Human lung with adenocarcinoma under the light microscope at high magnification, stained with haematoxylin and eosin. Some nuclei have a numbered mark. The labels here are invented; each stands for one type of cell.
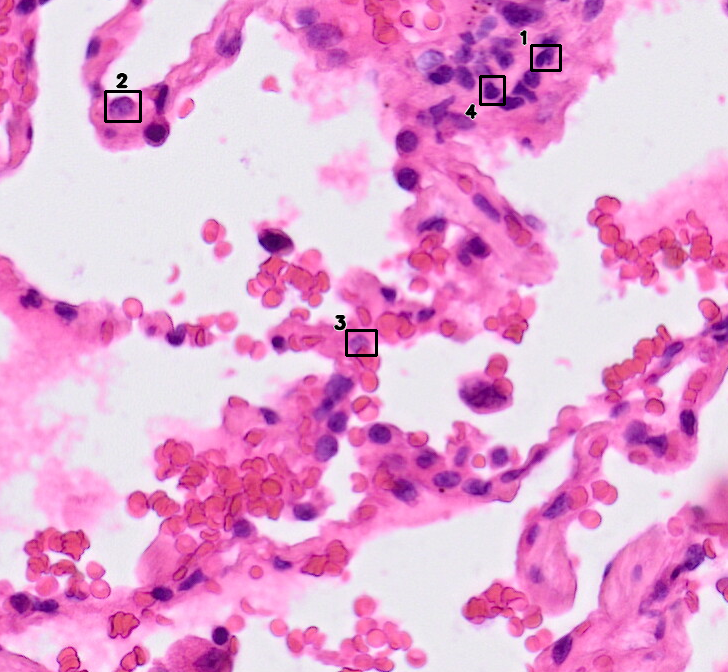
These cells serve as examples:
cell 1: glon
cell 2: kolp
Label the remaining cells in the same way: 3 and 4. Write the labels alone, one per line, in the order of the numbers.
kolp
glon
